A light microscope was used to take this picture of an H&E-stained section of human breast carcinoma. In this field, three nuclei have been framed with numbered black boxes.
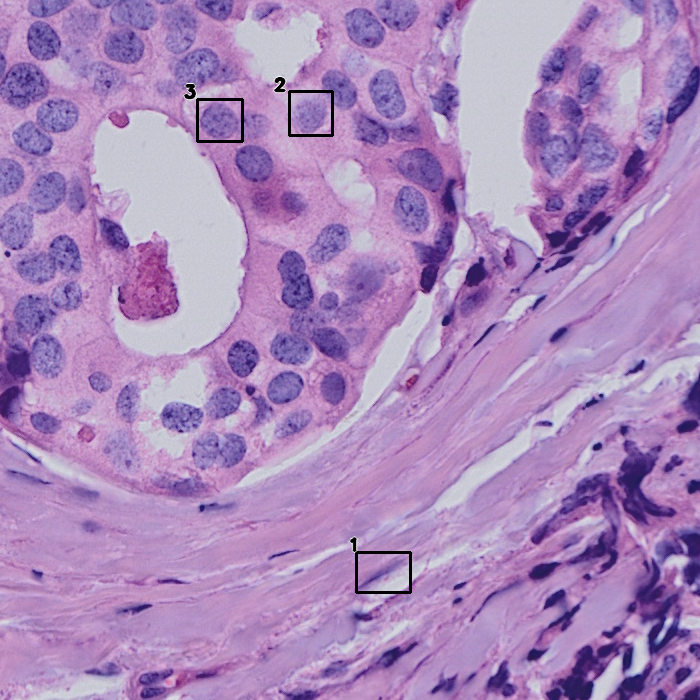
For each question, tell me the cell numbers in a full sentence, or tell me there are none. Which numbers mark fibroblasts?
Cell 1 is a fibroblast, whereas each of the other numbered cells is not.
